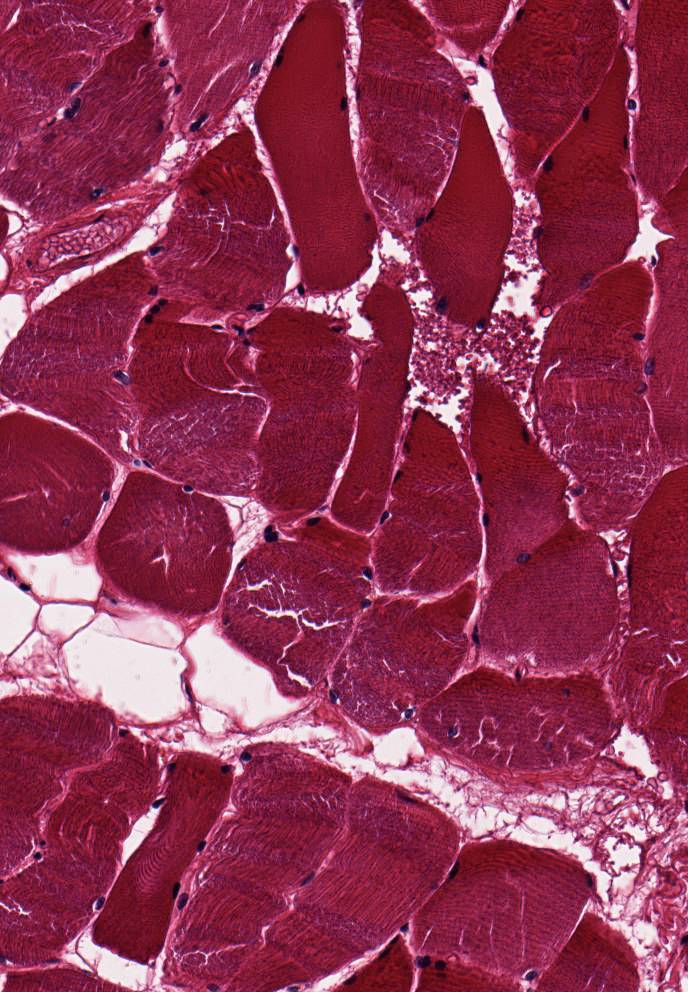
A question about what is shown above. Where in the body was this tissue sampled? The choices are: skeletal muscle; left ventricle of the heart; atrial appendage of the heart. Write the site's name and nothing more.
skeletal muscle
